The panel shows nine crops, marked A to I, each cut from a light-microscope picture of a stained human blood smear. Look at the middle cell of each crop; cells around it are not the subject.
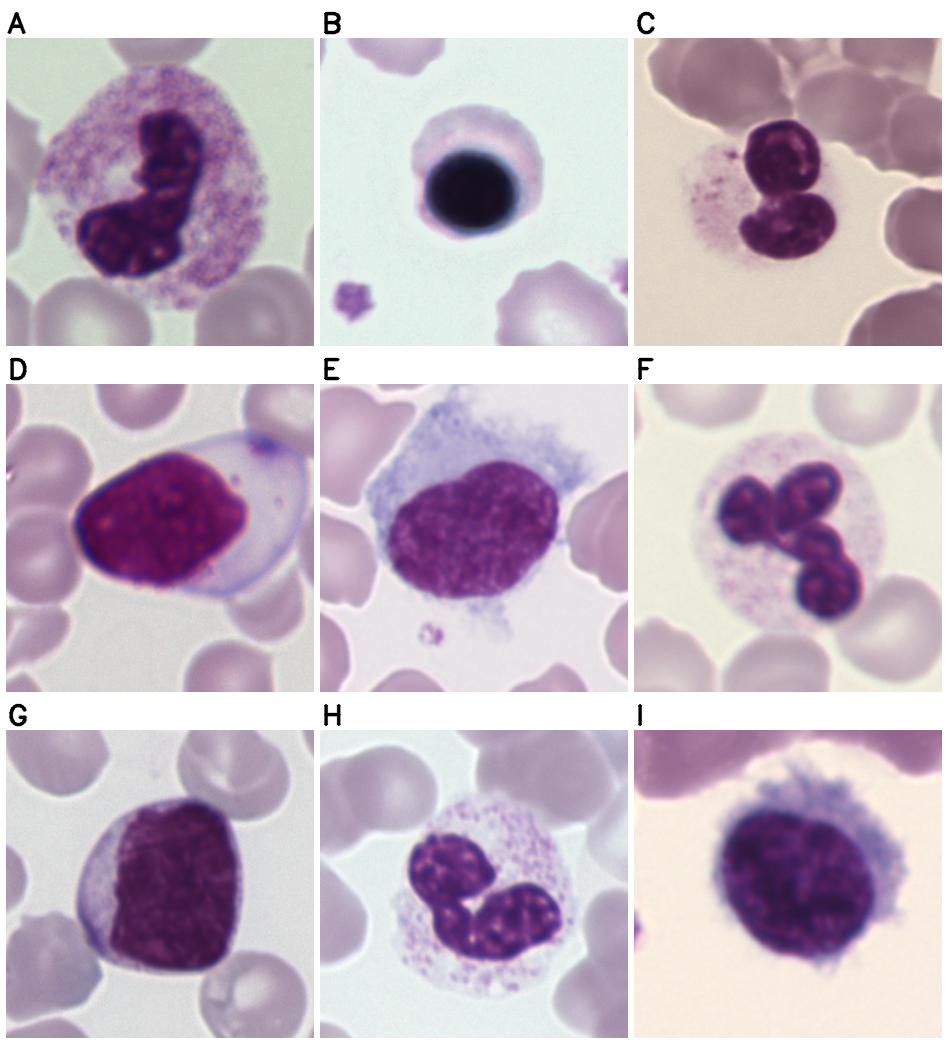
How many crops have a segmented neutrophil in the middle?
4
